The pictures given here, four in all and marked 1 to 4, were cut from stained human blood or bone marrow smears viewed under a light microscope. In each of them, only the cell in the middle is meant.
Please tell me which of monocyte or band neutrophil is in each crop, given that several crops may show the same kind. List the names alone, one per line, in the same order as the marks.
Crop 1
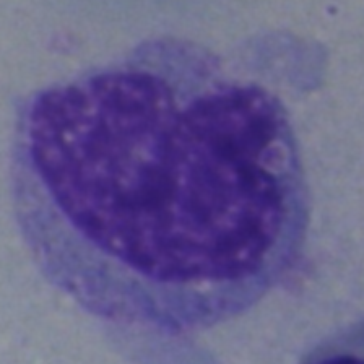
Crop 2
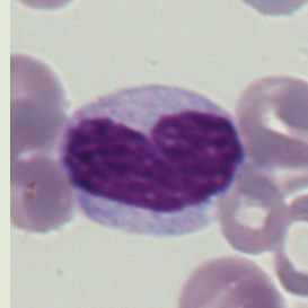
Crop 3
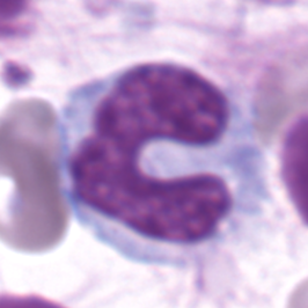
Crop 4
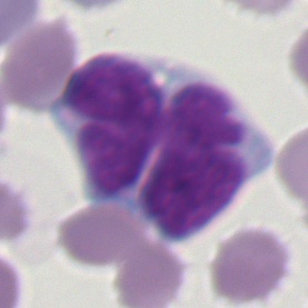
monocyte
band neutrophil
monocyte
monocyte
